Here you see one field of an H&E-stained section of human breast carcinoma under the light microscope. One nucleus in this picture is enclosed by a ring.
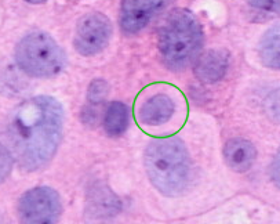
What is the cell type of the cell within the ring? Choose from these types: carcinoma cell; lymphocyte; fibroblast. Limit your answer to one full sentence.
In this section of tissue, the cell within the ring is a carcinoma cell.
